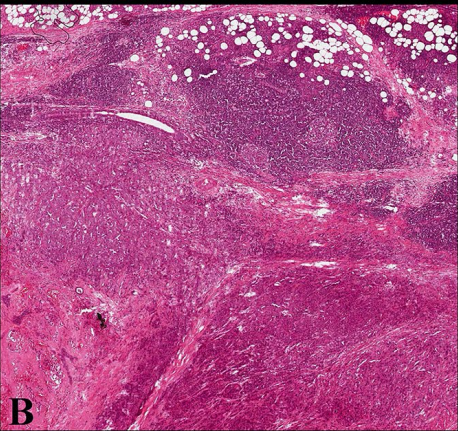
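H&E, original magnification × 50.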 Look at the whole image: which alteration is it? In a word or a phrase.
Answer: Permeative and infiltrative margins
